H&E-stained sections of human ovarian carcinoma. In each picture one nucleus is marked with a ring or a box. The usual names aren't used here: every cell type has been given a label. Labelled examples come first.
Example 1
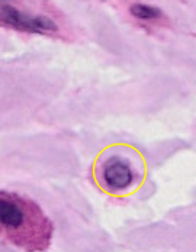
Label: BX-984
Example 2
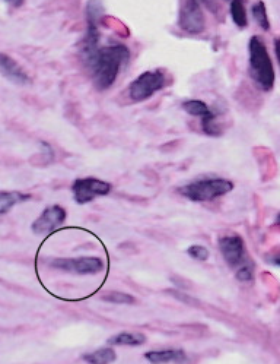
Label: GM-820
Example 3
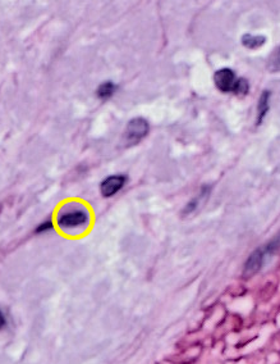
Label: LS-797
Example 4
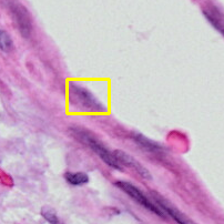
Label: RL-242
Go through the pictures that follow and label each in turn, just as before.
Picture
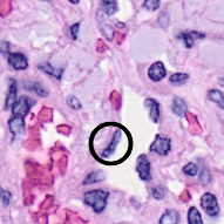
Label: RL-242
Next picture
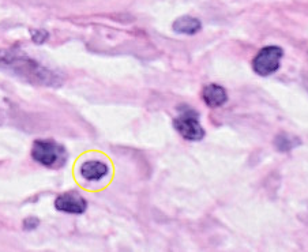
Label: LS-797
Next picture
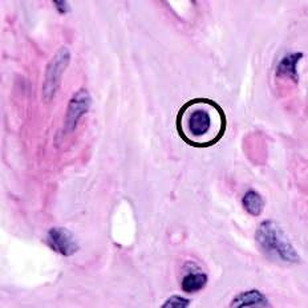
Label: LS-797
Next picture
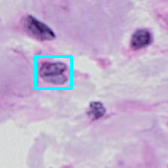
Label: BX-984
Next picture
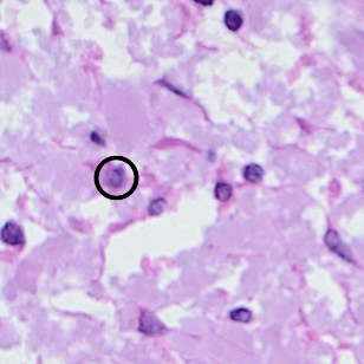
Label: BX-984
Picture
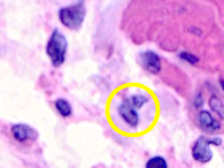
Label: BX-984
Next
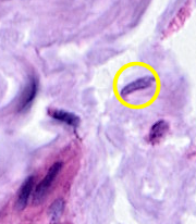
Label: GM-820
